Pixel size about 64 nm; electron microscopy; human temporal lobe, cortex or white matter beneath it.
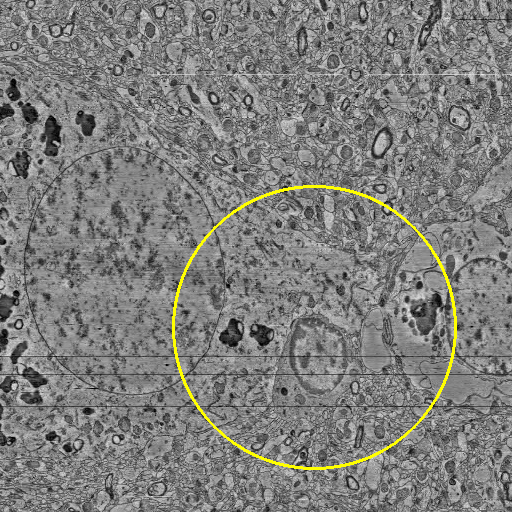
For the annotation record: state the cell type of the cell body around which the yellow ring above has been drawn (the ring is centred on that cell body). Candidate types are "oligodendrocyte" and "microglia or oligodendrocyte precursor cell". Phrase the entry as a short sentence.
The ringed cell is an oligodendrocyte.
